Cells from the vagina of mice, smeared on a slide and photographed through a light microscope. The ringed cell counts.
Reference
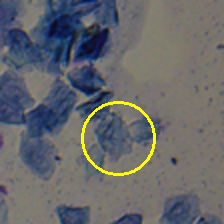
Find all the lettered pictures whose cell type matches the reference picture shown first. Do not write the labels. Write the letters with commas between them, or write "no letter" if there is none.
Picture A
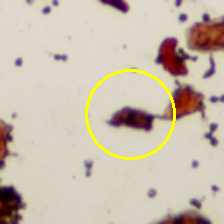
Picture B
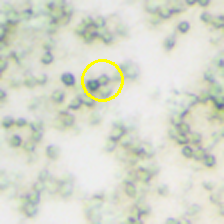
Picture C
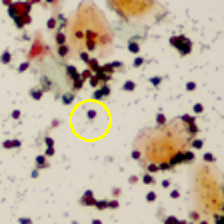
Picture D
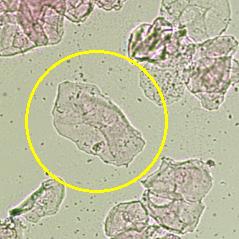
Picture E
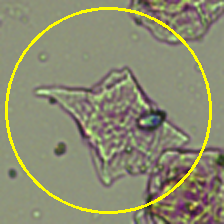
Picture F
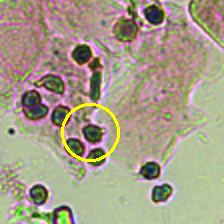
A, D, E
